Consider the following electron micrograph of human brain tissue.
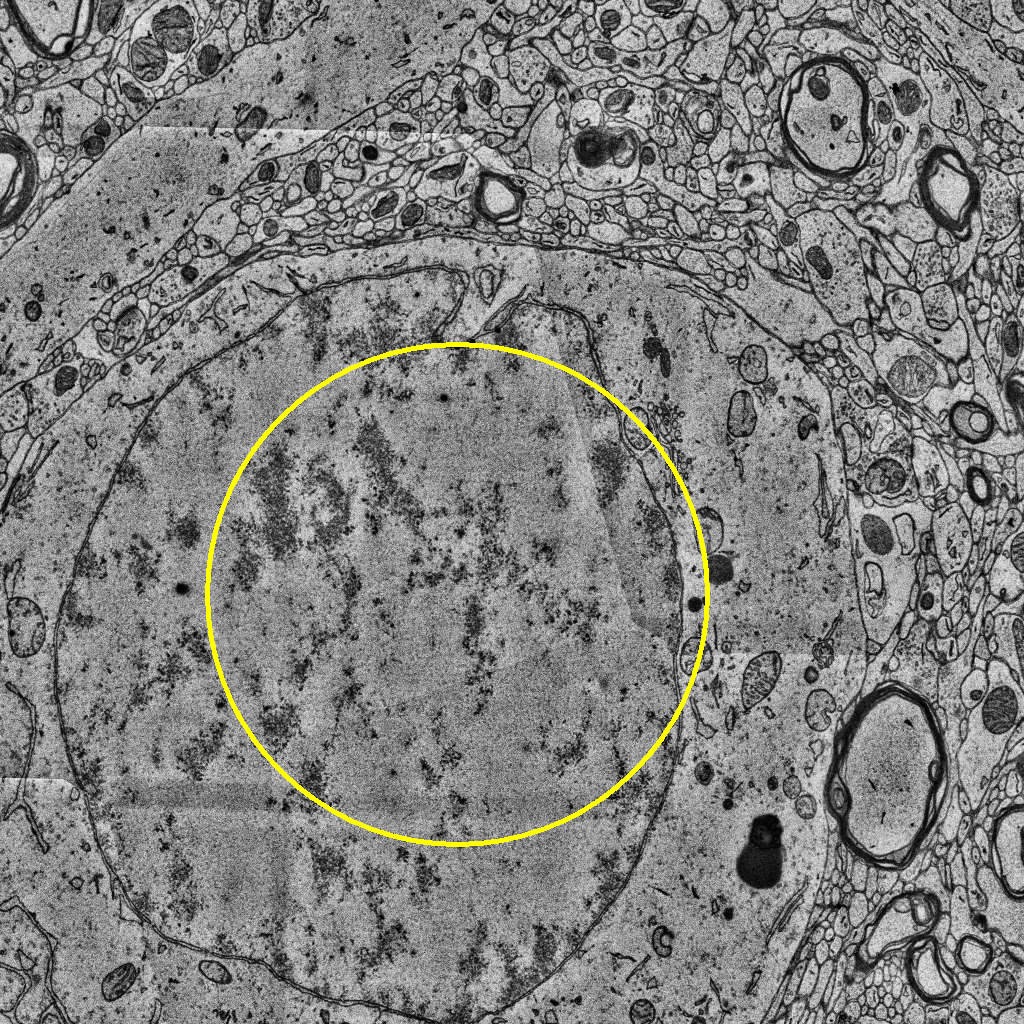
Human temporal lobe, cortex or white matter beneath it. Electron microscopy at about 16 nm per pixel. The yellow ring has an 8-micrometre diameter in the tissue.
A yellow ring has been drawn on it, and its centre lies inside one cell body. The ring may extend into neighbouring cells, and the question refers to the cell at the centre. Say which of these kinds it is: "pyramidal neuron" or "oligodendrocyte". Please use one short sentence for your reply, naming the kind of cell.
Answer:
The centre of the ring falls on a pyramidal neuron.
